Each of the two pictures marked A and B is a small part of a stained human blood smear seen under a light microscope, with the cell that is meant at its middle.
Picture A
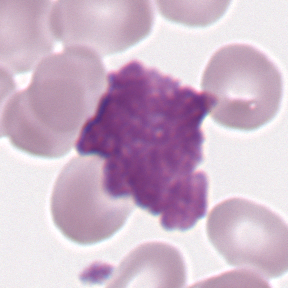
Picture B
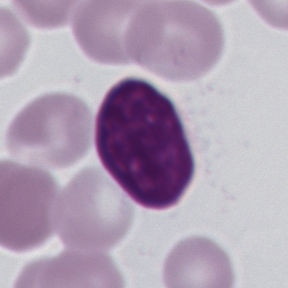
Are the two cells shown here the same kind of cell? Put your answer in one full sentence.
Yes, the two pictures both show smudge cells.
